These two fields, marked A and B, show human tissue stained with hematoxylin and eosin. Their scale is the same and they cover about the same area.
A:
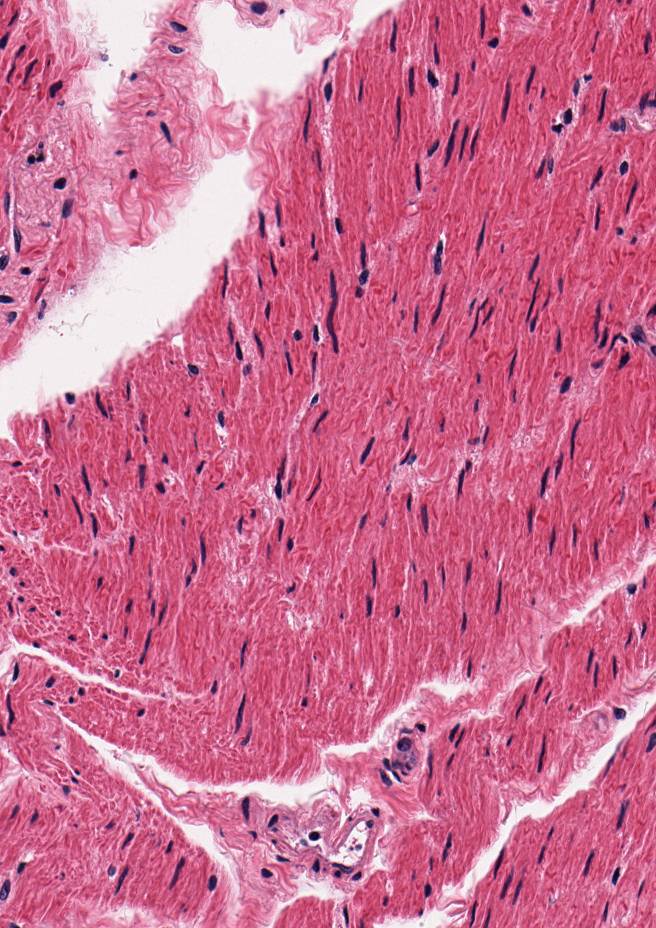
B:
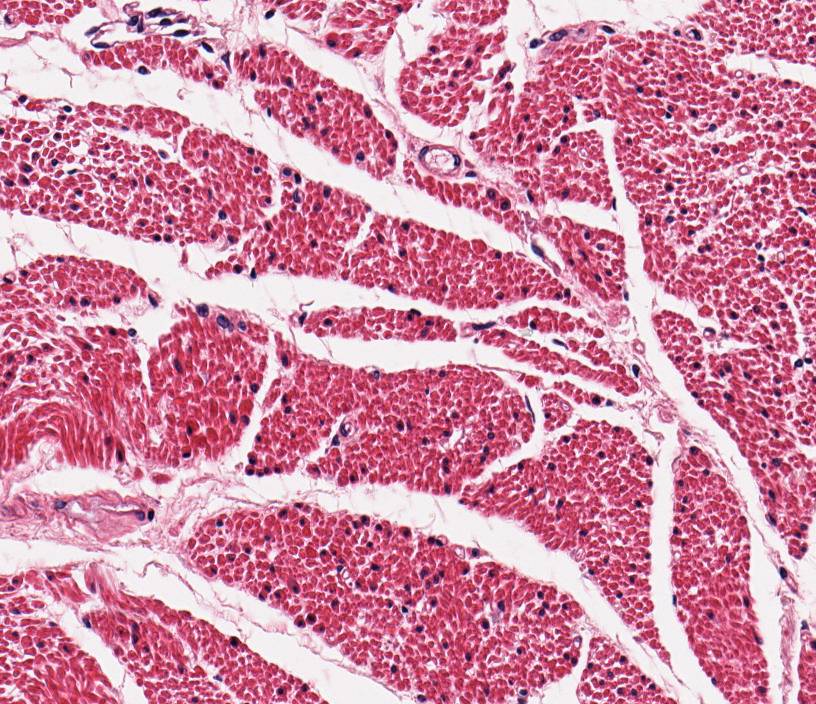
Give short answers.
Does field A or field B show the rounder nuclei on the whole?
B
